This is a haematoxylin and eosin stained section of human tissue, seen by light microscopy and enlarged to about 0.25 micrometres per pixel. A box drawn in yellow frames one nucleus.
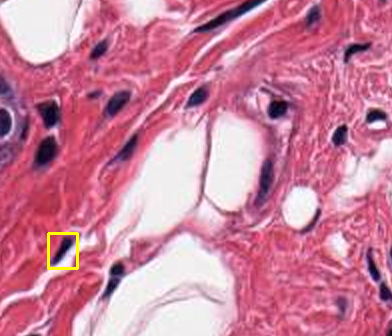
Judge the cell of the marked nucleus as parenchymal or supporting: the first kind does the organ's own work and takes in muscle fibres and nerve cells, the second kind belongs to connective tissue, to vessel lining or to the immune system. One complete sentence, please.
The marked nucleus is recognized as that of a supporting cell.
